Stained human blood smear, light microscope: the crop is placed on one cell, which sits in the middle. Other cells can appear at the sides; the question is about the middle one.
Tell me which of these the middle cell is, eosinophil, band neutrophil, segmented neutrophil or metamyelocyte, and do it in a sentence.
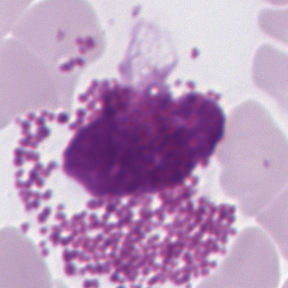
Classification of the middle cell gives an eosinophil.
